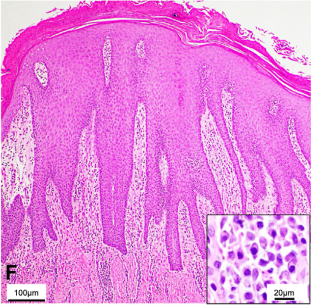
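Skin showing marked thickening of the epidermis with hyperkeratosis. A thick, pink, layered keratin sheet covers the surface, and the epidermis sends long, fairly even rete ridges deep into the dermis, separated by narrow dermal papillae. The squamous cells stain pink with purple nuclei. The dermis between and below the ridges holds scattered inflammatory cells. The inset at higher power shows packed plasma cells with round, eccentric nuclei and purplish cytoplasm.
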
